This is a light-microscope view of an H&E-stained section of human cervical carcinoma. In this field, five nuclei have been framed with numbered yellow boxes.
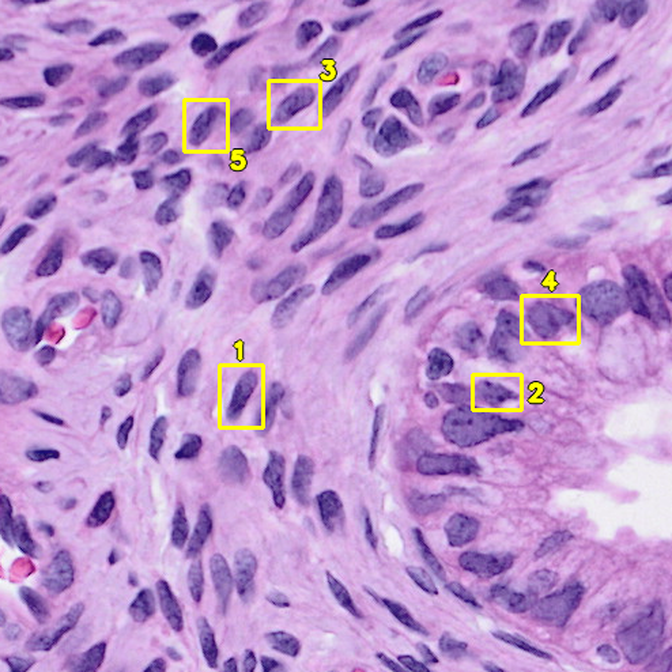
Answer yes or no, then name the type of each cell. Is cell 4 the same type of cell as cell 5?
No, cell 4 is a secretory epithelial cell and cell 5 is a fibroblast.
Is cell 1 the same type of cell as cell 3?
Yes, both are fibroblasts.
